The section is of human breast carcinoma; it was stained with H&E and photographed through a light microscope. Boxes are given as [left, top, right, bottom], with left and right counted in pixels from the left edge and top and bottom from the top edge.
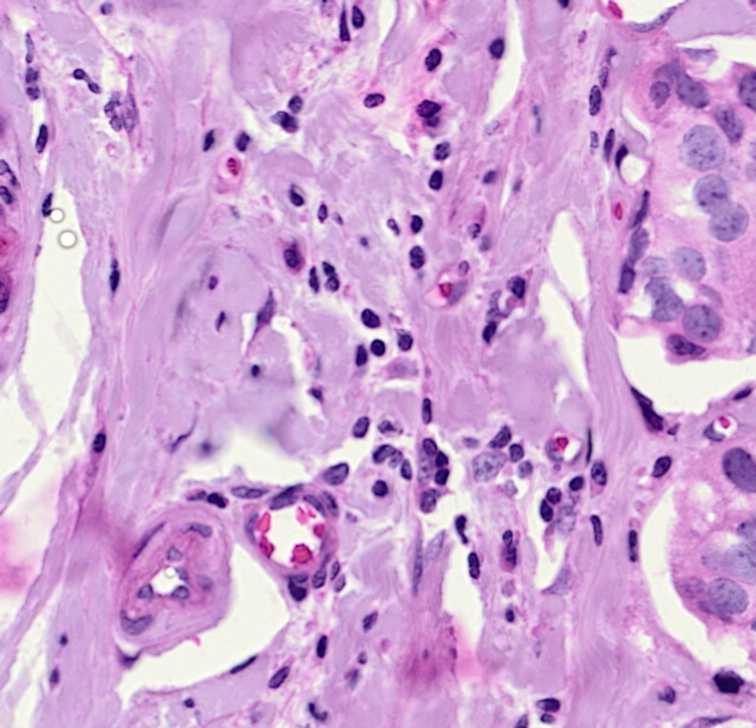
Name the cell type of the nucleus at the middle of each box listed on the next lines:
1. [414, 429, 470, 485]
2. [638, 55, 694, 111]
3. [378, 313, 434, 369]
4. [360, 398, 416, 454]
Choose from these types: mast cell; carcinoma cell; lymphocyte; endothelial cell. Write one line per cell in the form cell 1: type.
cell 1: lymphocyte
cell 2: carcinoma cell
cell 3: lymphocyte
cell 4: lymphocyte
